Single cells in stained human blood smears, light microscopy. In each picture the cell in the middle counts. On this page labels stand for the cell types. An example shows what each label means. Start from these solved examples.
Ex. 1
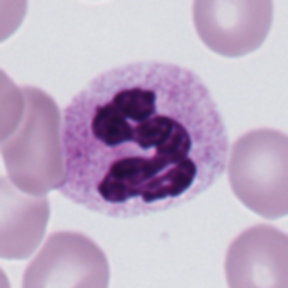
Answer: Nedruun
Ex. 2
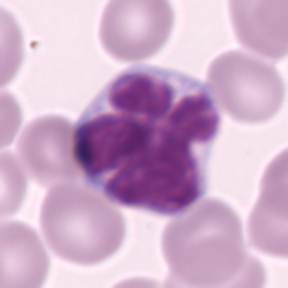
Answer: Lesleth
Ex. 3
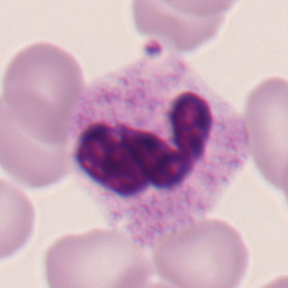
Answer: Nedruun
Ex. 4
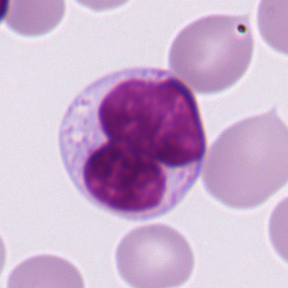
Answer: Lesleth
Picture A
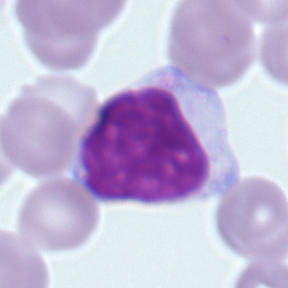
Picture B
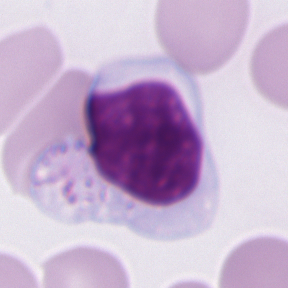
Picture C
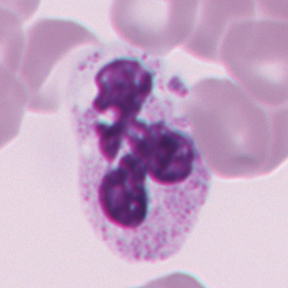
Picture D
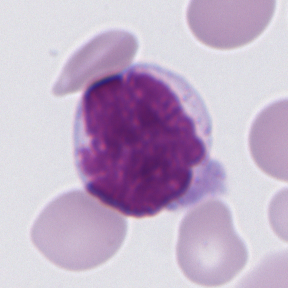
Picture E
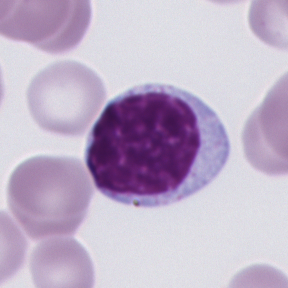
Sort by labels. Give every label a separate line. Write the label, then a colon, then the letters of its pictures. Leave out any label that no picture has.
Nedruun: C
Lesleth: A, B, D, E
